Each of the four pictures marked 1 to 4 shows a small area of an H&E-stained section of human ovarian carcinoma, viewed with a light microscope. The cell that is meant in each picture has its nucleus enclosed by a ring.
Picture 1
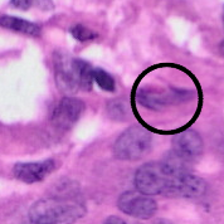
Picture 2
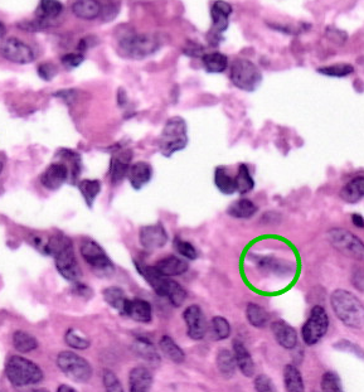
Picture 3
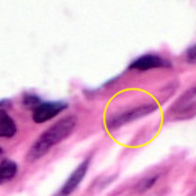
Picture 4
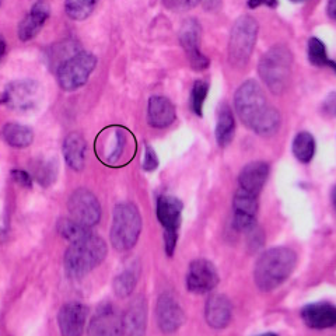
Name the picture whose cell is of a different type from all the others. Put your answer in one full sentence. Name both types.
The different one is picture 3; it shows a fibroblast, whereas all the others show endothelial cells.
